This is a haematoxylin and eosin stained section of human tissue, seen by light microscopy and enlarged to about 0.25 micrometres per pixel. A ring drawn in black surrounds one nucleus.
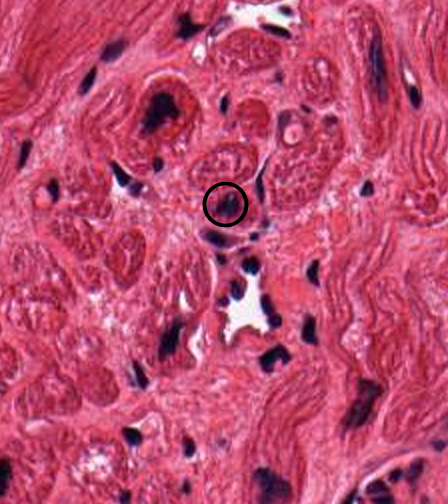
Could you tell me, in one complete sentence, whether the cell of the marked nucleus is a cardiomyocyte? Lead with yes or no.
Yes, the marked nucleus belongs to a cardiomyocyte in this image.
